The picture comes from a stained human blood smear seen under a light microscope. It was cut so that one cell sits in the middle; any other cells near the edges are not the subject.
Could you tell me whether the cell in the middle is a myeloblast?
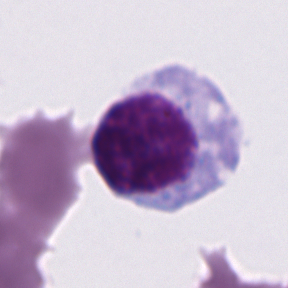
no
